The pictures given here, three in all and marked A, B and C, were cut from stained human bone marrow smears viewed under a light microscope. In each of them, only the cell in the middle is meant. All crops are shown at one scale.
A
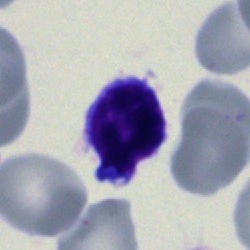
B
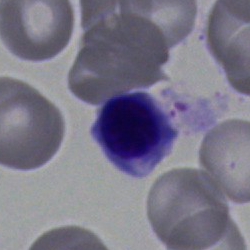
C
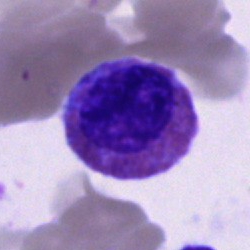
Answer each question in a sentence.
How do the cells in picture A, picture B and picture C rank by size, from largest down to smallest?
Largest first: C, A, B.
